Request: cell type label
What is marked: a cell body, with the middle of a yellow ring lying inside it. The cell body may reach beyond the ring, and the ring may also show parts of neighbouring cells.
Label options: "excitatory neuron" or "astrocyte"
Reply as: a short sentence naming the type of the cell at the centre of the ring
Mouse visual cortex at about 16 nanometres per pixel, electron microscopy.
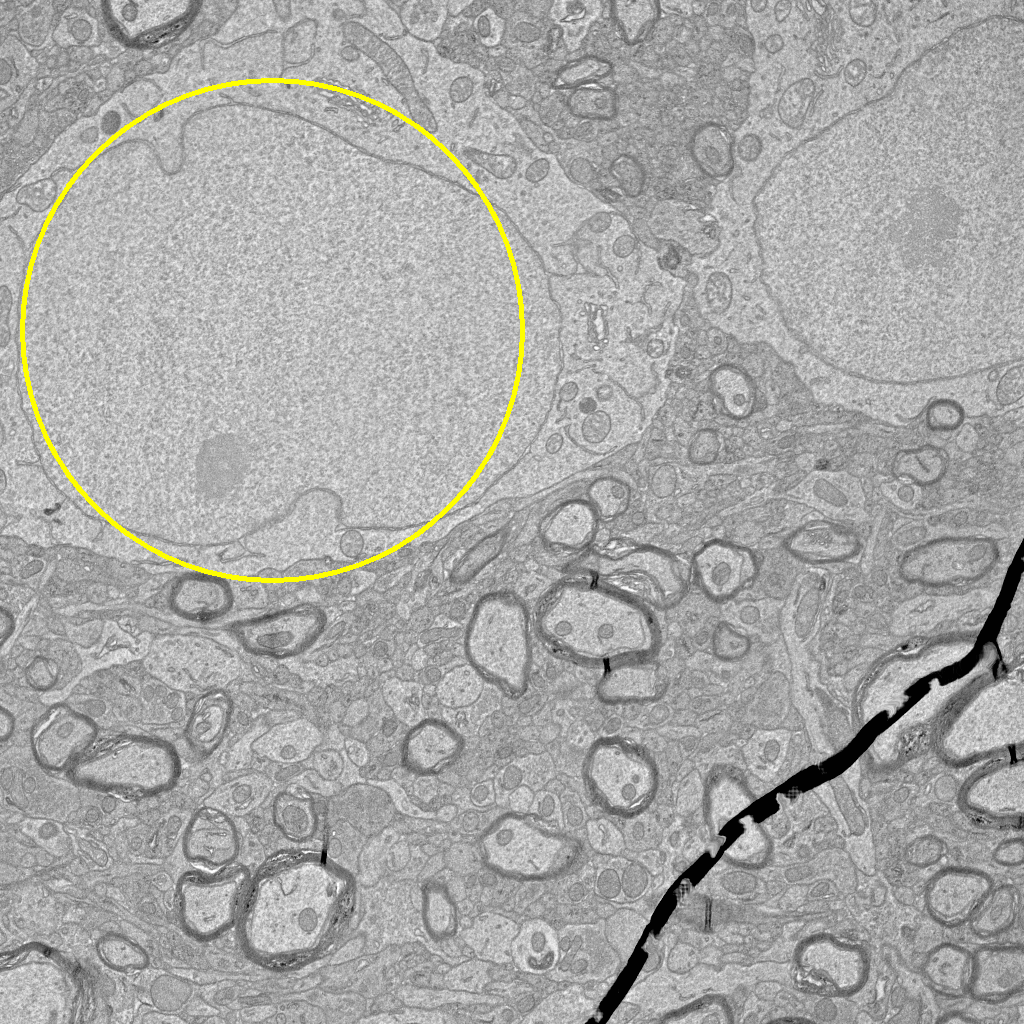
The marked cell body is that of an excitatory neuron.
